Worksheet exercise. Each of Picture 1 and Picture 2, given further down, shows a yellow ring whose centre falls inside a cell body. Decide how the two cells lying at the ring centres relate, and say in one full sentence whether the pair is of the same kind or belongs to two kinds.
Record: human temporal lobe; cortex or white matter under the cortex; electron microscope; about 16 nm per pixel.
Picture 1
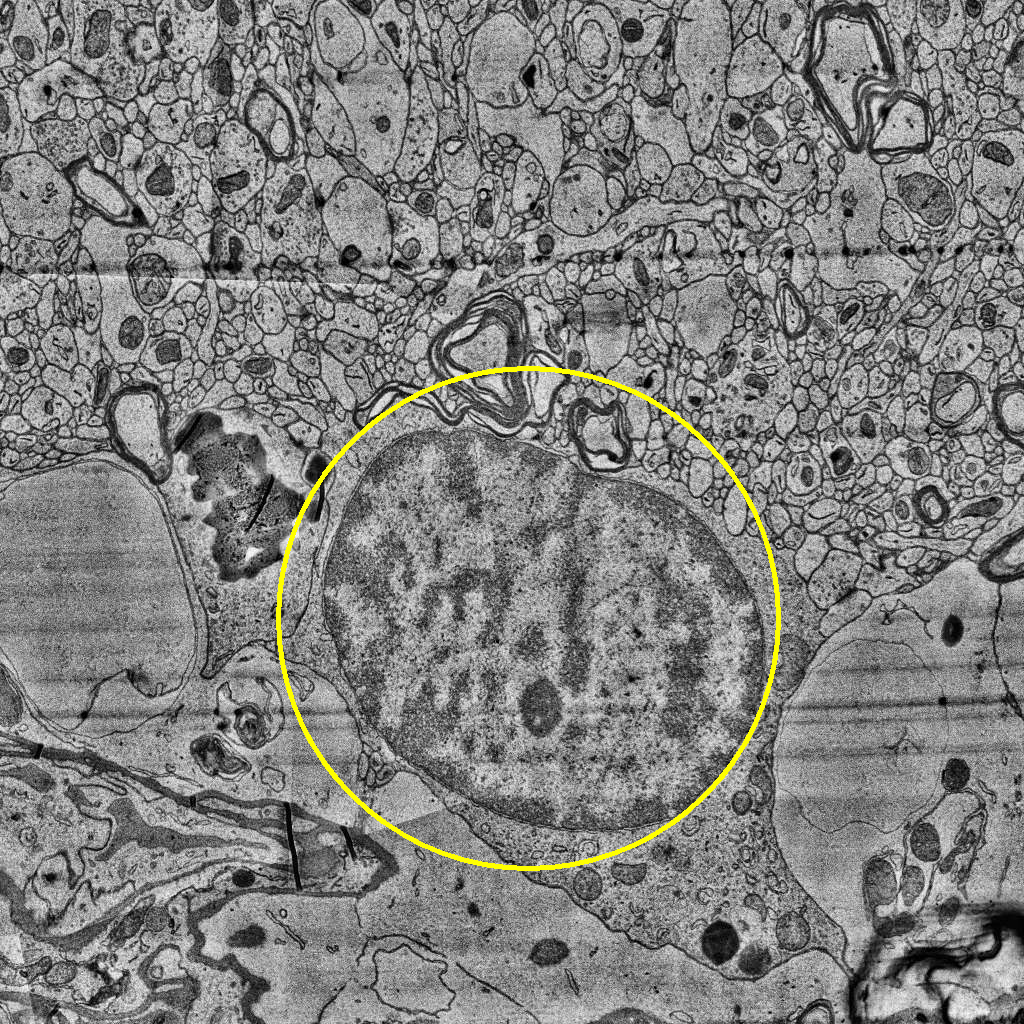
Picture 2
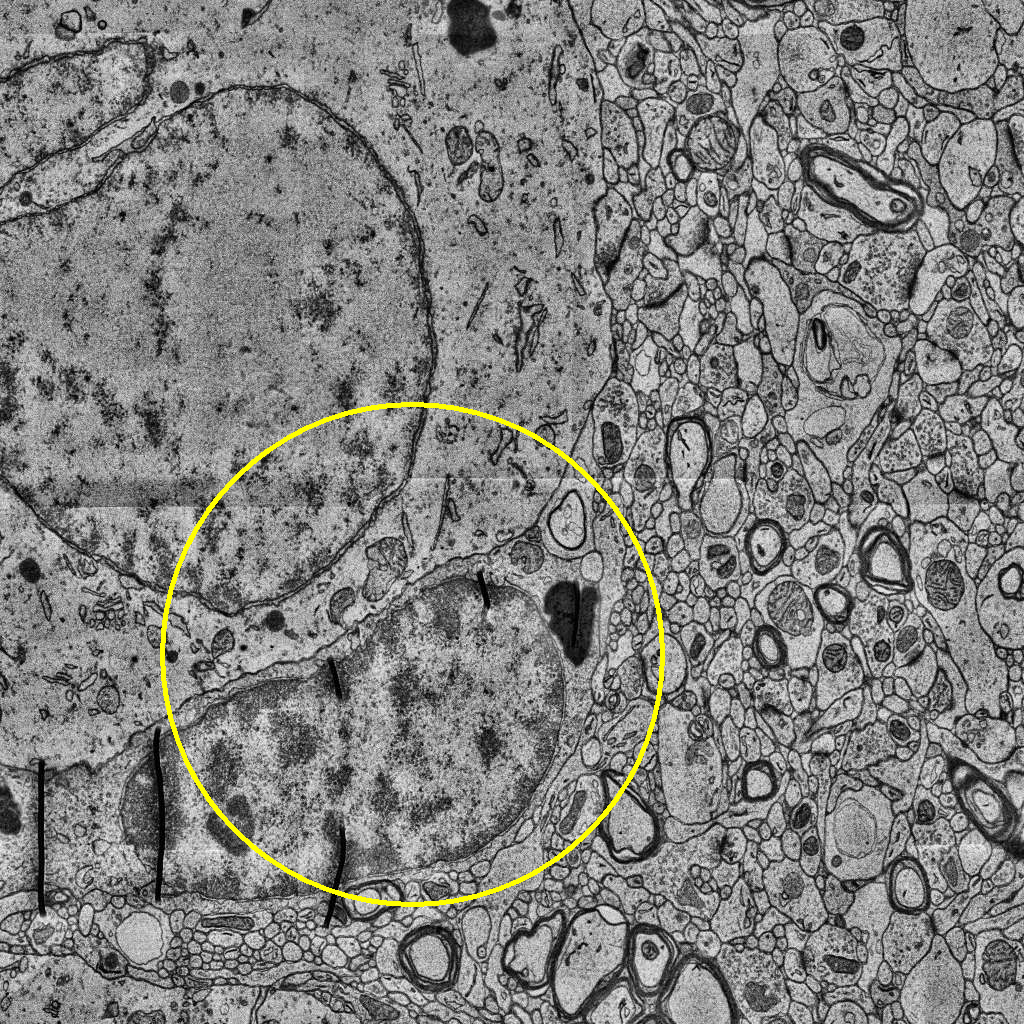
The cells at the ring centres in Picture 1 and Picture 2 are of the same kind.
